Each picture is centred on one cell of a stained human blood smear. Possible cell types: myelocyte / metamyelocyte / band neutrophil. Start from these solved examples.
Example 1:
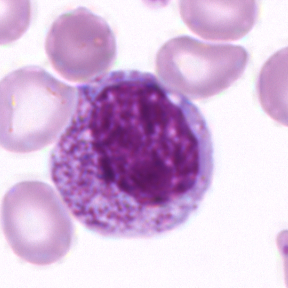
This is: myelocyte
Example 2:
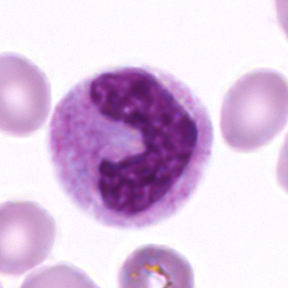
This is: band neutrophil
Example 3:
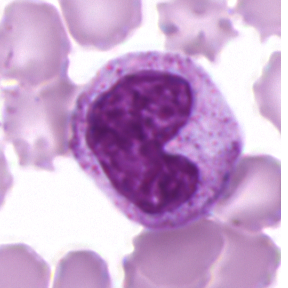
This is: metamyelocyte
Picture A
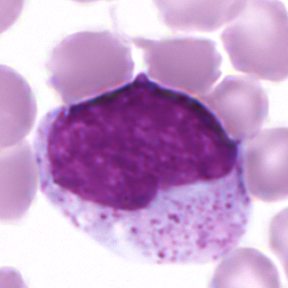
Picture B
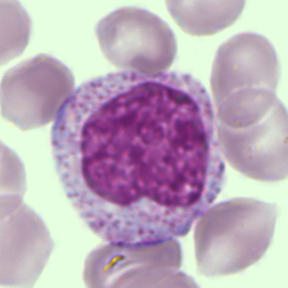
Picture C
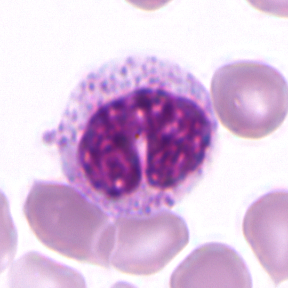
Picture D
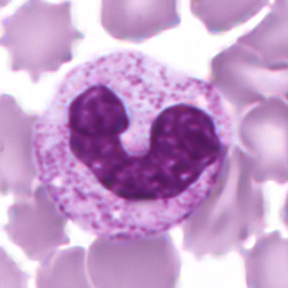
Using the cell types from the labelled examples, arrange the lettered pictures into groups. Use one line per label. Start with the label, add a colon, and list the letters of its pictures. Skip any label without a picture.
myelocyte: A, B
band neutrophil: C, D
